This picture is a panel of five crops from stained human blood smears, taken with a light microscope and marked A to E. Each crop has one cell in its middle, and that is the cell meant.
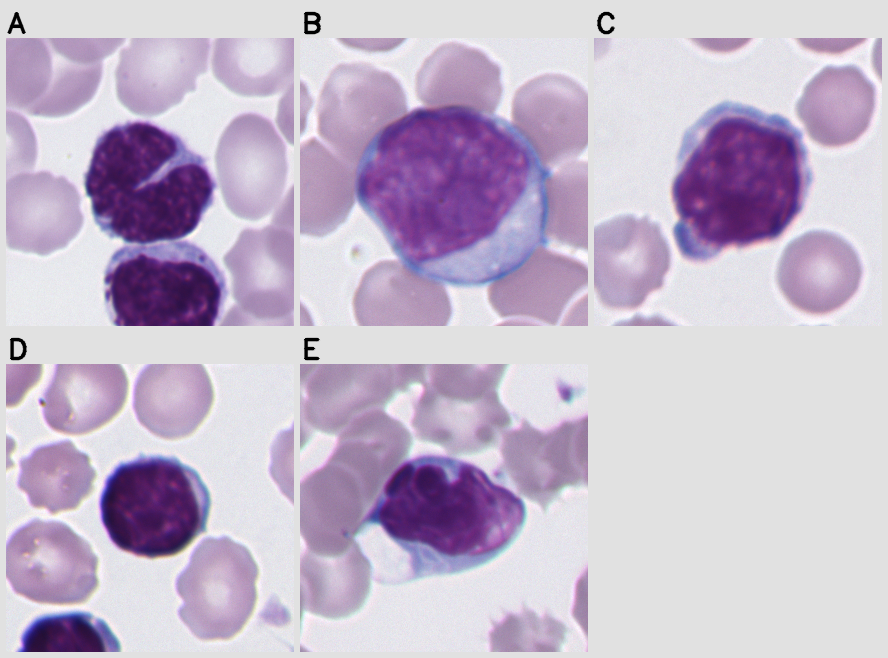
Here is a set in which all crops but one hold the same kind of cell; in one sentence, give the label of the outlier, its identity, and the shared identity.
All crops show typical lymphocytes except crop B, which is a myeloblast.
